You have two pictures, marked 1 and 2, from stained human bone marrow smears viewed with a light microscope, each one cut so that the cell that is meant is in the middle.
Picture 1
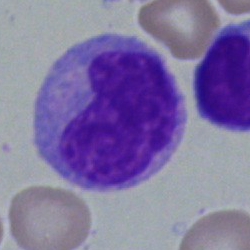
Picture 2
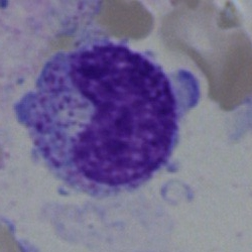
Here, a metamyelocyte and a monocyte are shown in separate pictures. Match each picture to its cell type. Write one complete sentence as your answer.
Picture 1 shows a monocyte and picture 2 shows a metamyelocyte.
